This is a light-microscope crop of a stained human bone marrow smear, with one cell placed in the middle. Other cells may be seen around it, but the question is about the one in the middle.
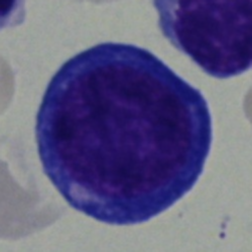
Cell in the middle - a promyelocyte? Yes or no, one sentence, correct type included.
No, the cell found centrally in the crop is a proerythroblast, not a promyelocyte.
